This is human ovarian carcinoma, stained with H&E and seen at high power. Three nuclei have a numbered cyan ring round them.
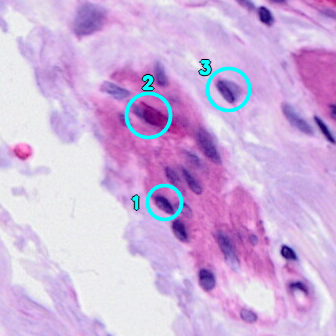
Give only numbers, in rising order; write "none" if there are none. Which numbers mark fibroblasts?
3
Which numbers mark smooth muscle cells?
1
